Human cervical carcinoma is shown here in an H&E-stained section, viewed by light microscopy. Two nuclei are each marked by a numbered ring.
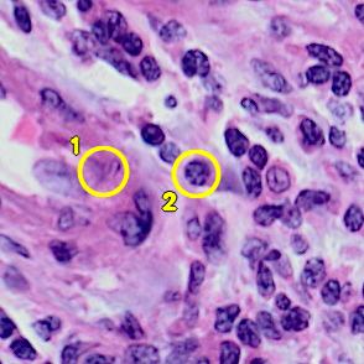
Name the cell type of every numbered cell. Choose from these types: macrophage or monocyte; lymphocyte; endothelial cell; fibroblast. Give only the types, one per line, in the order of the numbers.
endothelial cell
lymphocyte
